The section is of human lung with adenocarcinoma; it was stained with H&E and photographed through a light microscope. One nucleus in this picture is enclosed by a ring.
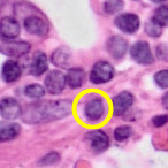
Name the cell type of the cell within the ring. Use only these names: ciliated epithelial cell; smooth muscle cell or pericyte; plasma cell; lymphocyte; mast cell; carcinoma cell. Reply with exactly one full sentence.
Microscopically, the cell within the ring is categorized as a lymphocyte.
